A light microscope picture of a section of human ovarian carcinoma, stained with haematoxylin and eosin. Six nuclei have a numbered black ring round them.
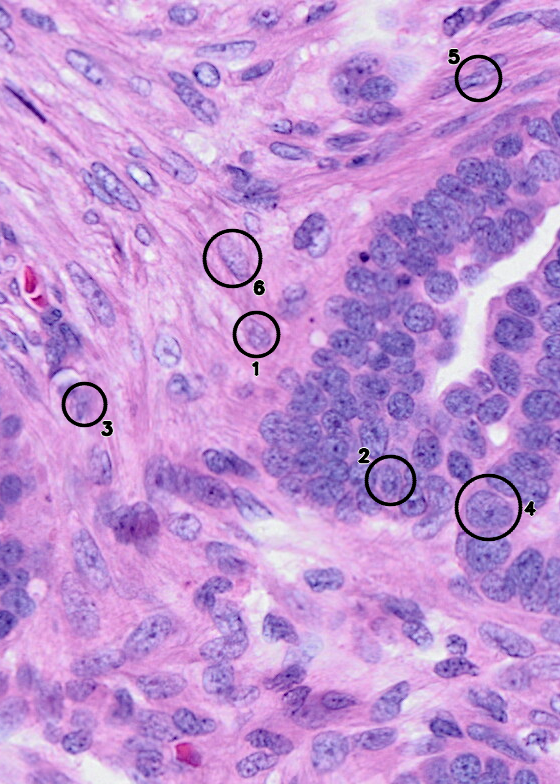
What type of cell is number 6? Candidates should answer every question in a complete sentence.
Classified as a fibroblast is the cell with the number 6.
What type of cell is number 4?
The nucleus labelled 4 belongs to a carcinoma cell.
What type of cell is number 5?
Marked with the number 5, this cell is a fibroblast.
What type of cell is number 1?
The cell that carries the label 1 is a fibroblast.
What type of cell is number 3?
In the marked set, the cell given number 3 is a fibroblast.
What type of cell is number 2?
In this section, the cell tagged 2 is a carcinoma cell.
